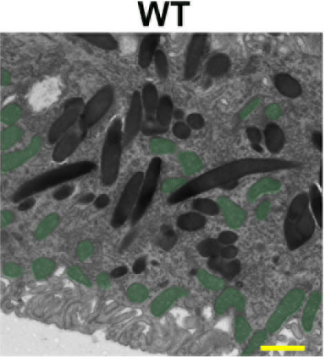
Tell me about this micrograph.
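Electron micrograph of a retinal pigmented epithelium cell, showing its cytoplasm densely packed with pigment granules and mitochondria. Numerous very dark, electron-dense granules are present, some round or oval and others long and spindle-shaped, concentrated in the upper and middle part of the field. Along the bottom edge the cell membrane forms many closely spaced folds, the basal infoldings, with mitochondria lying just above them. A pale vesicle is seen at the upper left.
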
